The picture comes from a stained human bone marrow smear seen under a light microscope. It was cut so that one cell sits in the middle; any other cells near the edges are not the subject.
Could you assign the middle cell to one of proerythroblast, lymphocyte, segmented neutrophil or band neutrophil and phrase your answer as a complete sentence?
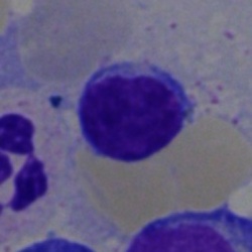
Answering briefly, the cell in the middle is a lymphocyte.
